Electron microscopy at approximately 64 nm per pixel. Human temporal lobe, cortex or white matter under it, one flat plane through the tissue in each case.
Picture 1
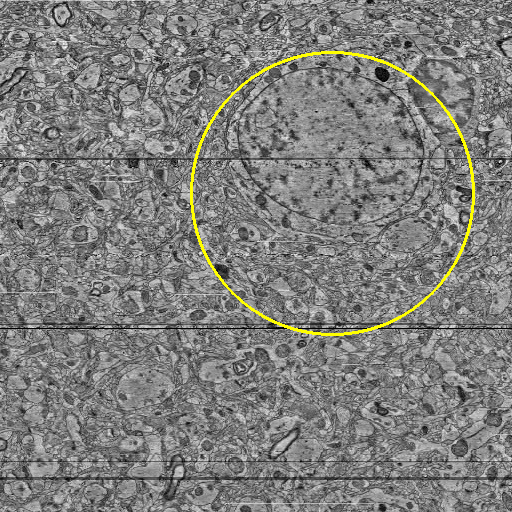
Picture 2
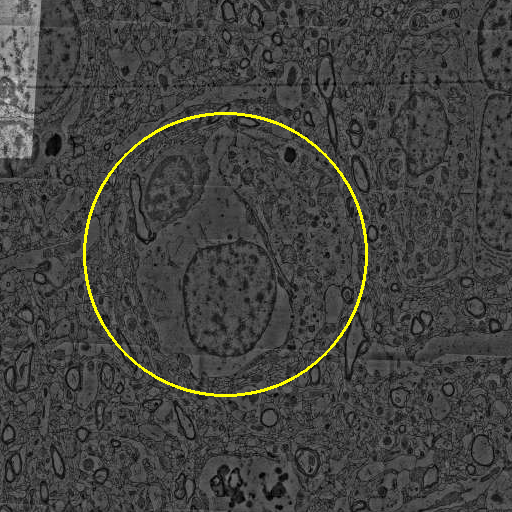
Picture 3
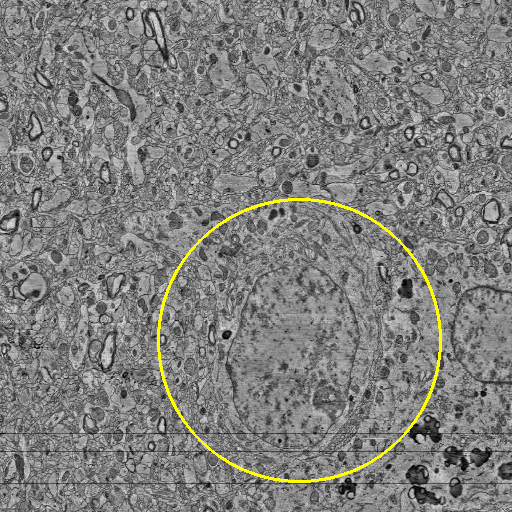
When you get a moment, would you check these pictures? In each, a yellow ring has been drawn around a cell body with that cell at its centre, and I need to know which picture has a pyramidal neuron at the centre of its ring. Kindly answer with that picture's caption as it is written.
Picture 1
